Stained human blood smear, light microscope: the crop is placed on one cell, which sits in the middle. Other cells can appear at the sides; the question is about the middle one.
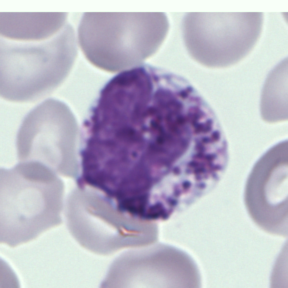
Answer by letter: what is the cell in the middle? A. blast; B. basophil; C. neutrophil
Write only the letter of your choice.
B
